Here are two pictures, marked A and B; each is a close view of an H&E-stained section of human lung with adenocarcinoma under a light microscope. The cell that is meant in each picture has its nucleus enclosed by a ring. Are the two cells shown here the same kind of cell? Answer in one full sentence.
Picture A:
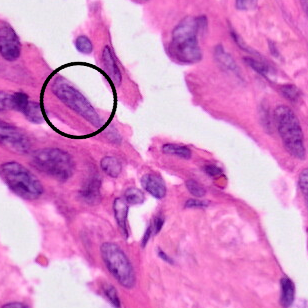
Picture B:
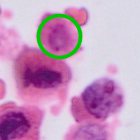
No; the cell in picture A is a carcinoma cell, while the one in picture B is a “macrophage or monocyte”.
